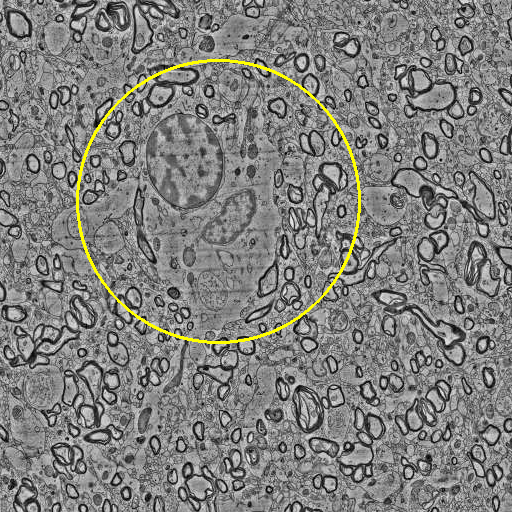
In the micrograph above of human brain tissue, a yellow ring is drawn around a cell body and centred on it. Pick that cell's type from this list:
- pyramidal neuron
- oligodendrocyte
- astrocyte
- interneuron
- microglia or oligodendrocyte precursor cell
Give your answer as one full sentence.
Going by the list, an astrocyte is the cell on which the yellow ring is centred.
